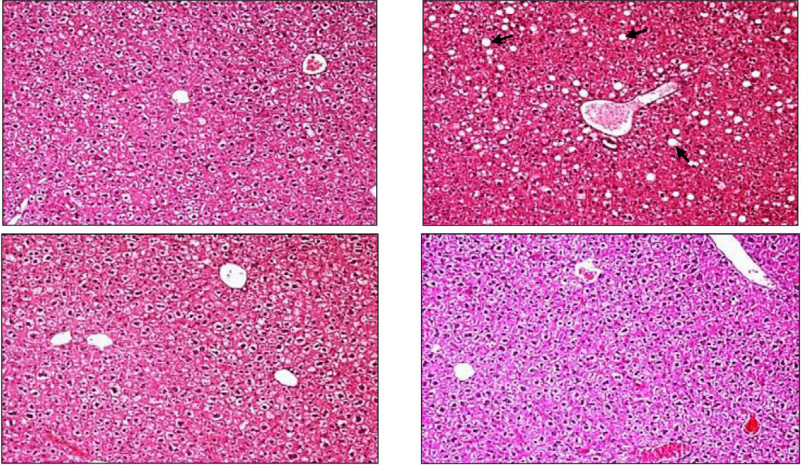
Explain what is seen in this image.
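Four sections of liver show sheets of polygonal hepatocytes with pink cytoplasm and round, dark purple central nuclei, arranged around scattered round vessel lumina. In one image, pointed to by black arrows, many hepatocytes contain round, clear, unstained vacuoles of lipid droplets, scattered throughout the section and beside an elongated vessel. The other three images show compact hepatocytes with few or no such clear vacuoles. One of these three stains more pale pink-violet than the others.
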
